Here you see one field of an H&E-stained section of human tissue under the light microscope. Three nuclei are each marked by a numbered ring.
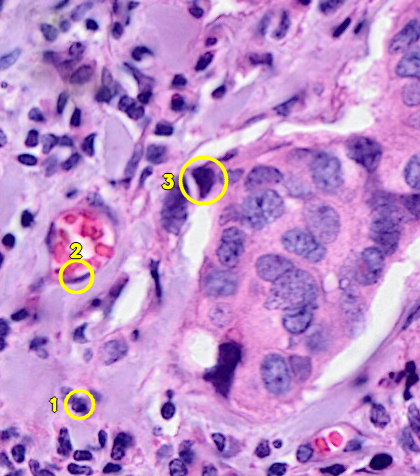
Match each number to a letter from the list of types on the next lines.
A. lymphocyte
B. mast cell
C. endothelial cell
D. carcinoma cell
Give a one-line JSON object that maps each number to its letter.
{"1": "A", "2": "C", "3": "D"}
